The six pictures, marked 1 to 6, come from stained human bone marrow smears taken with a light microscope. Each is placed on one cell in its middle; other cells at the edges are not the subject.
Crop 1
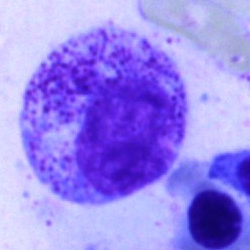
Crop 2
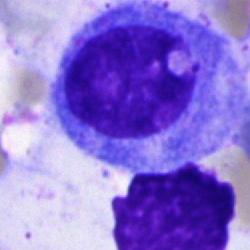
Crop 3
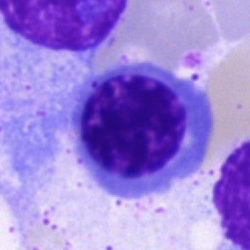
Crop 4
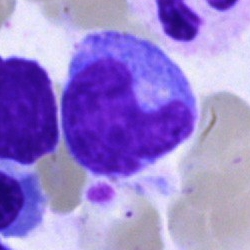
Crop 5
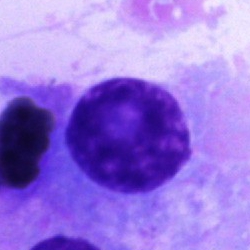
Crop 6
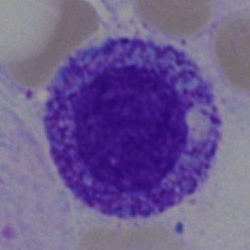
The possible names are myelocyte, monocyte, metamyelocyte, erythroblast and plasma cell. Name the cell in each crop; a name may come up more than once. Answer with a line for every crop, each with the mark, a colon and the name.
1: myelocyte
2: plasma cell
3: erythroblast
4: monocyte
5: plasma cell
6: myelocyte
